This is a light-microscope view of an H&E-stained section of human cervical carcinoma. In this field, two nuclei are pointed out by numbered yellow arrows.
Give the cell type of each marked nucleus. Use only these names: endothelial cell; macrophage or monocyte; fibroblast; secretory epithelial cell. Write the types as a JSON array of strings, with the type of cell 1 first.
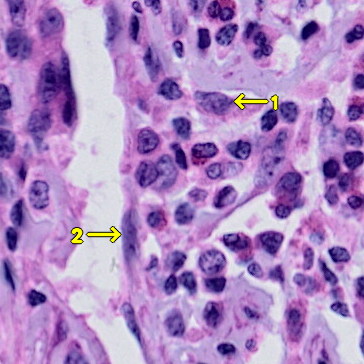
["macrophage or monocyte", "endothelial cell"]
